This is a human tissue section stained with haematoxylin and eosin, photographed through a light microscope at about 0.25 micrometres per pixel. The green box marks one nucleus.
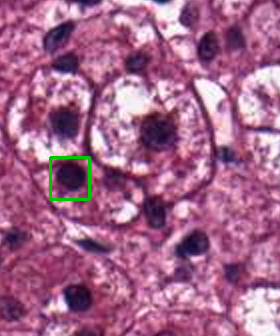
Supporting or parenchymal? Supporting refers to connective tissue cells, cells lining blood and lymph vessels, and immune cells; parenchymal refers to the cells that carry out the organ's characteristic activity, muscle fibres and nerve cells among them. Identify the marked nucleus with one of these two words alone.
parenchymal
